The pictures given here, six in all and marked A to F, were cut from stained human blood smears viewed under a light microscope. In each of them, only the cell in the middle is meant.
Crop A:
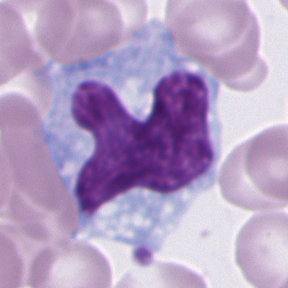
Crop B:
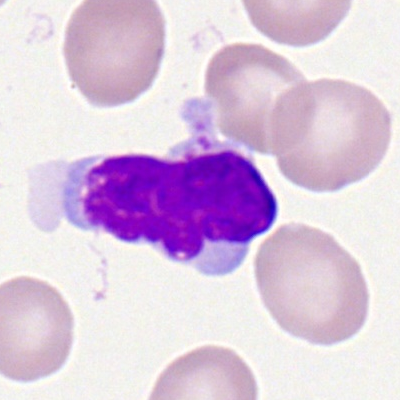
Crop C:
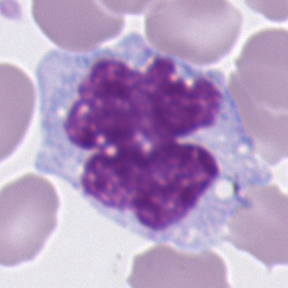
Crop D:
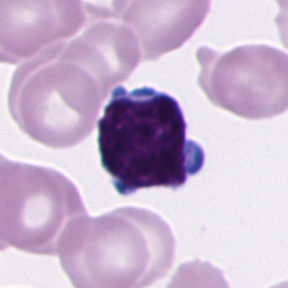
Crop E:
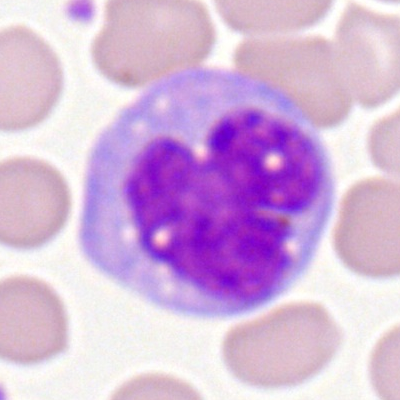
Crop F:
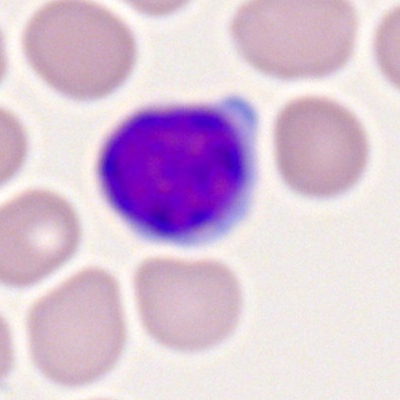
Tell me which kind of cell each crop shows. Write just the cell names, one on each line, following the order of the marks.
monocyte
lymphocyte
monocyte
lymphocyte
monocyte
lymphocyte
